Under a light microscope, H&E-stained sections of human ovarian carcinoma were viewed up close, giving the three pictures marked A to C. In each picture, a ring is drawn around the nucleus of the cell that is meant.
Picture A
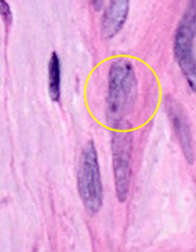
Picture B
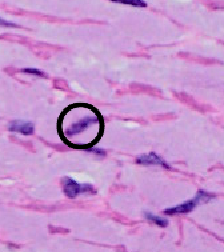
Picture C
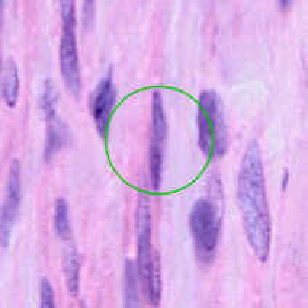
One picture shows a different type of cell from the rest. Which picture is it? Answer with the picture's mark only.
B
